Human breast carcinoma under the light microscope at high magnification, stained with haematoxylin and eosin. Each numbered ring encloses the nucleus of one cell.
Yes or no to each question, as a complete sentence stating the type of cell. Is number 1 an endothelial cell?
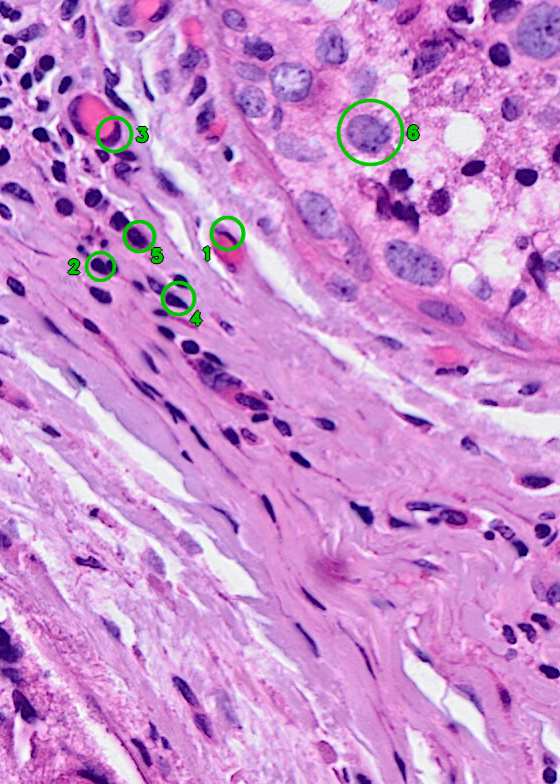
Yes, with respect to number 1, the cell is an endothelial cell.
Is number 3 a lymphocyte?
No, an endothelial cell, not a lymphocyte, is the cell with number 3.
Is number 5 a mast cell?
Yes, exactly, the cell numbered 5 is a mast cell.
